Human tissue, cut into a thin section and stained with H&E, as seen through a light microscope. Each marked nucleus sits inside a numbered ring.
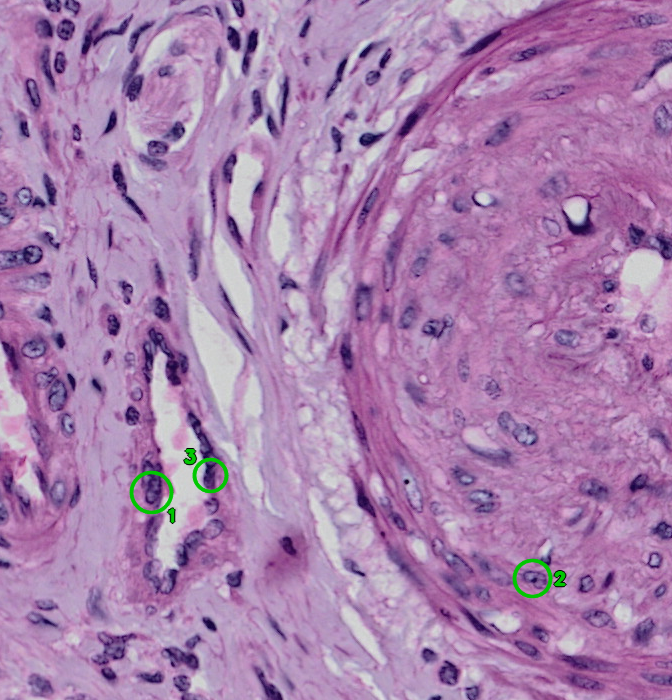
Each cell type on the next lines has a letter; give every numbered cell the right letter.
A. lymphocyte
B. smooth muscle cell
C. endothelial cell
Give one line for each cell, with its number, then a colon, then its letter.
1: C
2: B
3: C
